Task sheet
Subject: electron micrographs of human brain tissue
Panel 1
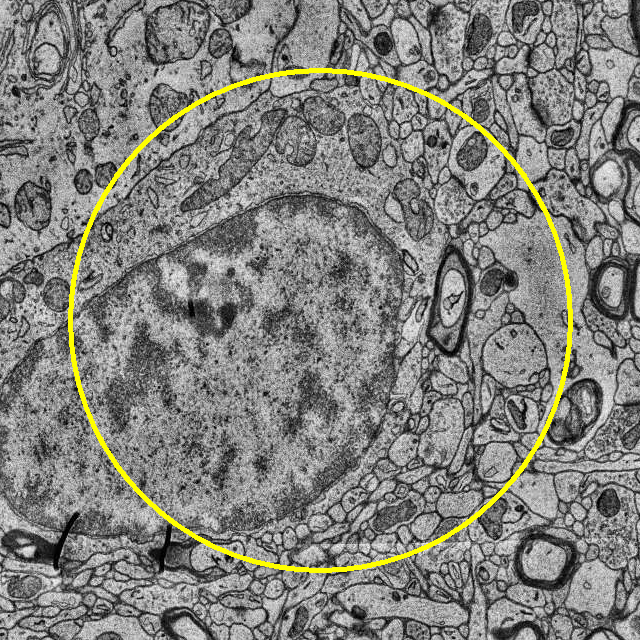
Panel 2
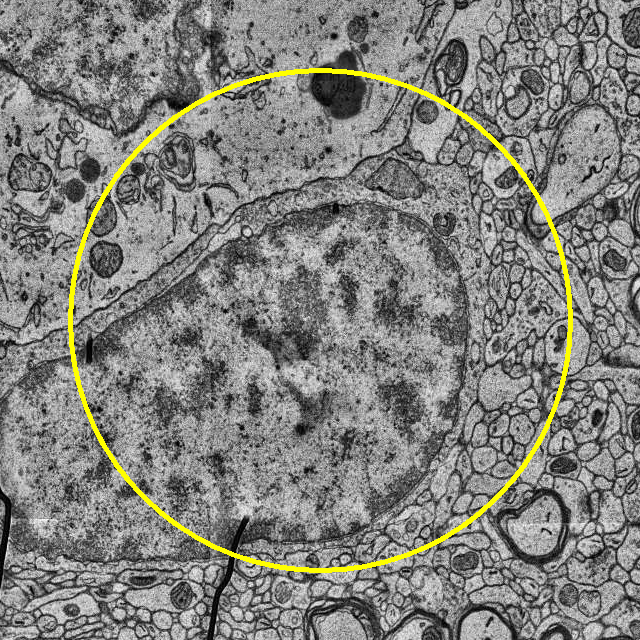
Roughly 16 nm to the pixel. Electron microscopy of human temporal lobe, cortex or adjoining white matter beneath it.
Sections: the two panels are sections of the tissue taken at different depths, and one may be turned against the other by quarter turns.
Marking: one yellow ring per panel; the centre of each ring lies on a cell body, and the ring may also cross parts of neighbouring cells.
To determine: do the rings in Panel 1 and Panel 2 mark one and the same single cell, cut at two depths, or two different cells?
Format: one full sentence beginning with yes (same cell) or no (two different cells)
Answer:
Yes, the two rings encircle a single cell, not a pair.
